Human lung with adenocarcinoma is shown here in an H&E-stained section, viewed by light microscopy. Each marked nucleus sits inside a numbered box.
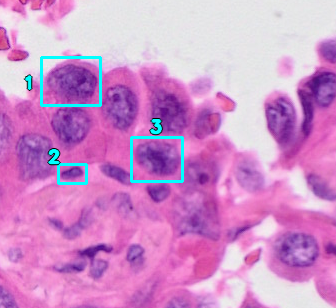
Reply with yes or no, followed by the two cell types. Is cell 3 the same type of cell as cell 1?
Yes, cells 3 and 1 are both to be classed as carcinoma cells.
